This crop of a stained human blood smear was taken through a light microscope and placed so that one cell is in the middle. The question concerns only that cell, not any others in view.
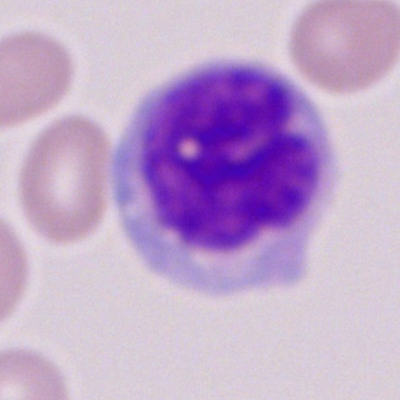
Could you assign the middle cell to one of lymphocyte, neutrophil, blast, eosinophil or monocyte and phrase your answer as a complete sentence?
The cell at the central position in this crop is a monocyte.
